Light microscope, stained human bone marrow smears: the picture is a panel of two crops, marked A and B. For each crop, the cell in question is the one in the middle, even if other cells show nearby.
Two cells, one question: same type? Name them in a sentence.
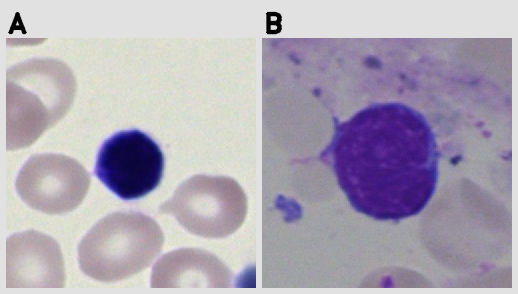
Yes, both crops show lymphocytes, each crop centred on one of them.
